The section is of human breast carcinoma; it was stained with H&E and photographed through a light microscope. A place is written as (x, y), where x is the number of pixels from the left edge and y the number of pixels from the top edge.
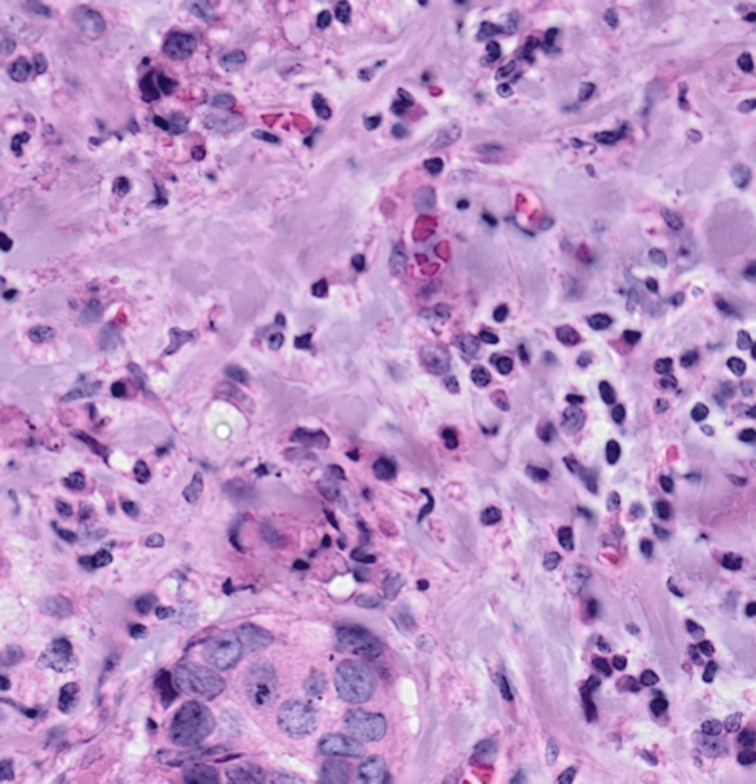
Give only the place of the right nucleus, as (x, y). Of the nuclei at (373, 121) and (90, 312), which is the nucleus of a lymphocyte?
(373, 121)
